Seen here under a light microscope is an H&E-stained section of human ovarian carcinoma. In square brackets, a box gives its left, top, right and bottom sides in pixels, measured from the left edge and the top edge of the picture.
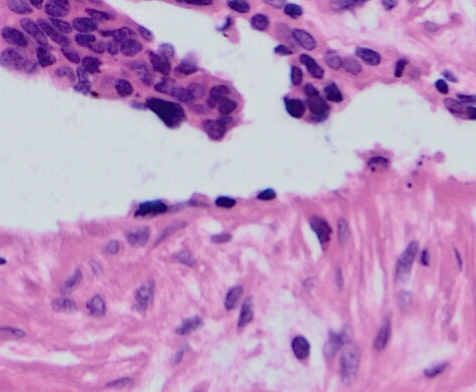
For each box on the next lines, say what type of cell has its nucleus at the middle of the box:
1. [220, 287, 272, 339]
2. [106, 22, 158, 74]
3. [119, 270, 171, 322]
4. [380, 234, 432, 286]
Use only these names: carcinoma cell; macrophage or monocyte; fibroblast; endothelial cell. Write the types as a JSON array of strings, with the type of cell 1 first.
["fibroblast", "carcinoma cell", "fibroblast", "fibroblast"]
